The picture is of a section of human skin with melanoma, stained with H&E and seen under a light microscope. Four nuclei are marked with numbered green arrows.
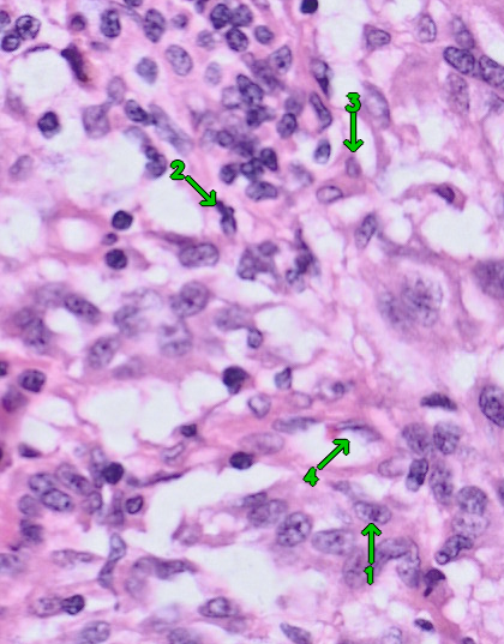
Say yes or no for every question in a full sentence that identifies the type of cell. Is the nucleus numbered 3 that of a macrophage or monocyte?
Yes, the cell that has number 3 is a macrophage or monocyte.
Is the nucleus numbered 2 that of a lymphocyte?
Yes, it is a lymphocyte that number 2 identifies.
